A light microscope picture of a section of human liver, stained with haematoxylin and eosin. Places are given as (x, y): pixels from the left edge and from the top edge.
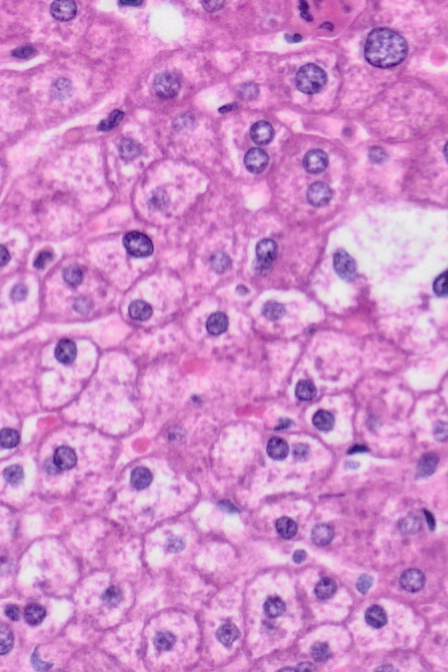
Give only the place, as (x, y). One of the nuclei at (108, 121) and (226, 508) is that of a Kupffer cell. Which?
(108, 121)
